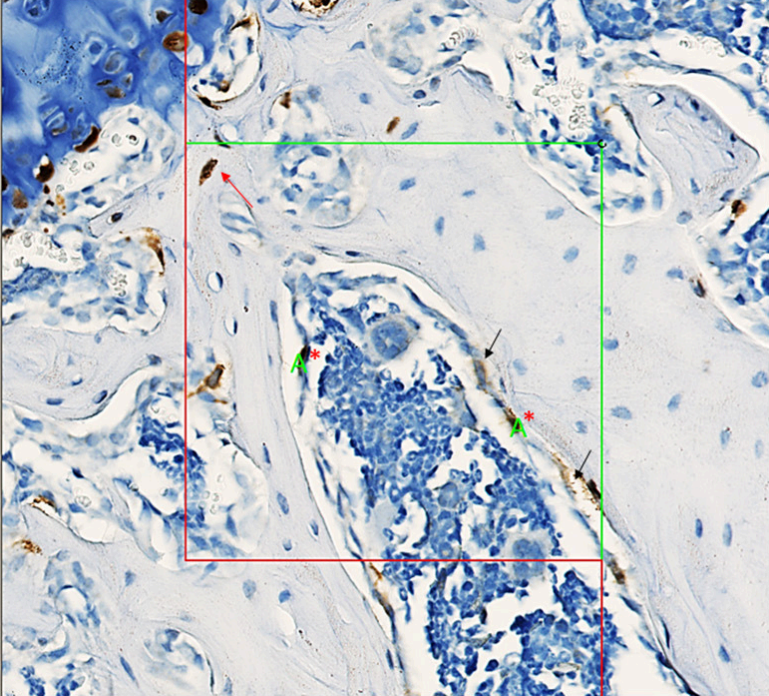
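This is a section of trabecular bone with marrow spaces, in which a few cells with brown cytoplasm stand out against a blue counterstain. Pale pink-grey bone matrix forms broad trabeculae containing scattered small blue nuclei of cells in lacunae, and one brown cell sits within the matrix near the upper left of the frame. The central marrow space is packed with many small, round, densely blue hematopoietic nuclei together with a few large cells with abundant cytoplasm. Along the surfaces of the trabeculae lie flattened and elongated cells, some with brown cytoplasm, lining the bone at the border of the marrow. At the upper left, deep blue tissue with rounded cells in lacunae looks like cartilage, bordered by several intensely brown cells.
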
